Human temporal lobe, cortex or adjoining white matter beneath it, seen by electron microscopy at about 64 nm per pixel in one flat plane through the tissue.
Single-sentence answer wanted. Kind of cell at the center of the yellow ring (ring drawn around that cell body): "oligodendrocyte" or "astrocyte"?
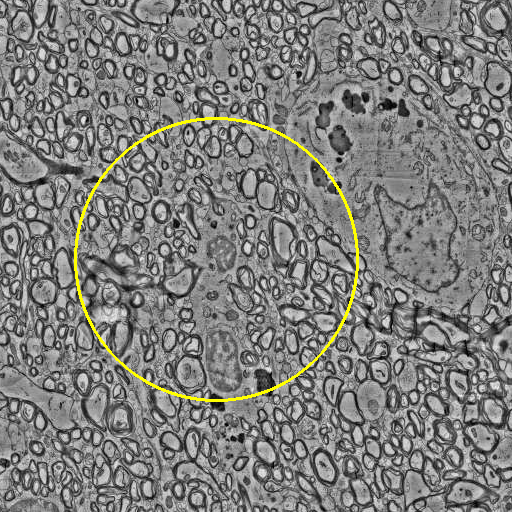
The cell centered in the ring is an oligodendrocyte.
